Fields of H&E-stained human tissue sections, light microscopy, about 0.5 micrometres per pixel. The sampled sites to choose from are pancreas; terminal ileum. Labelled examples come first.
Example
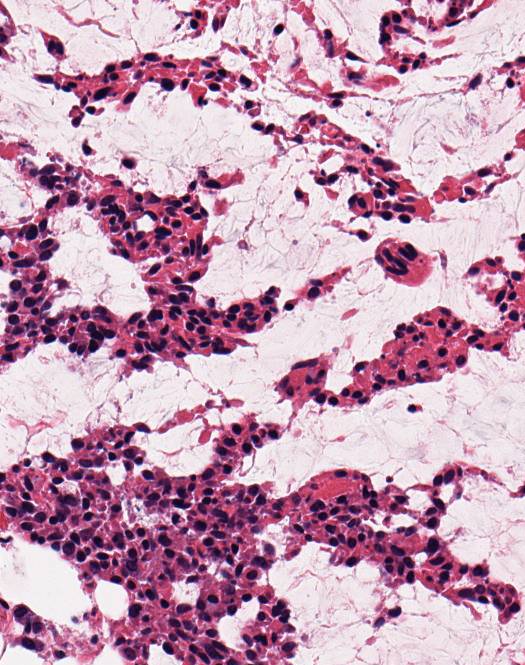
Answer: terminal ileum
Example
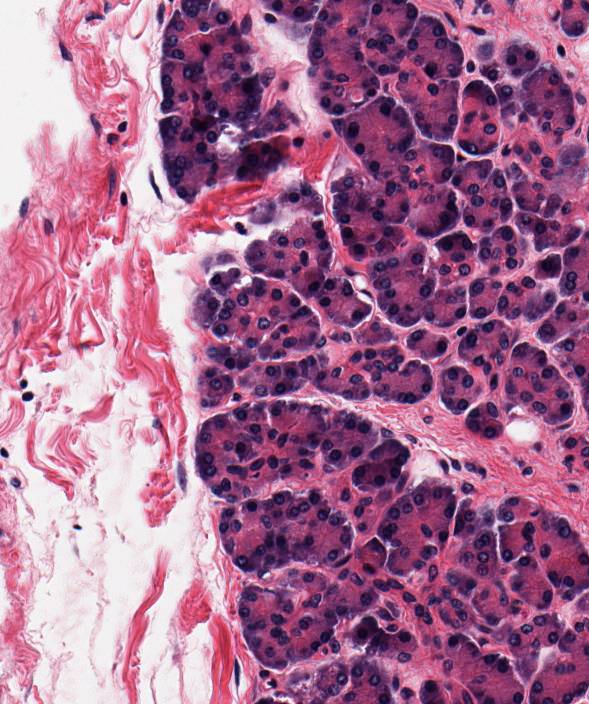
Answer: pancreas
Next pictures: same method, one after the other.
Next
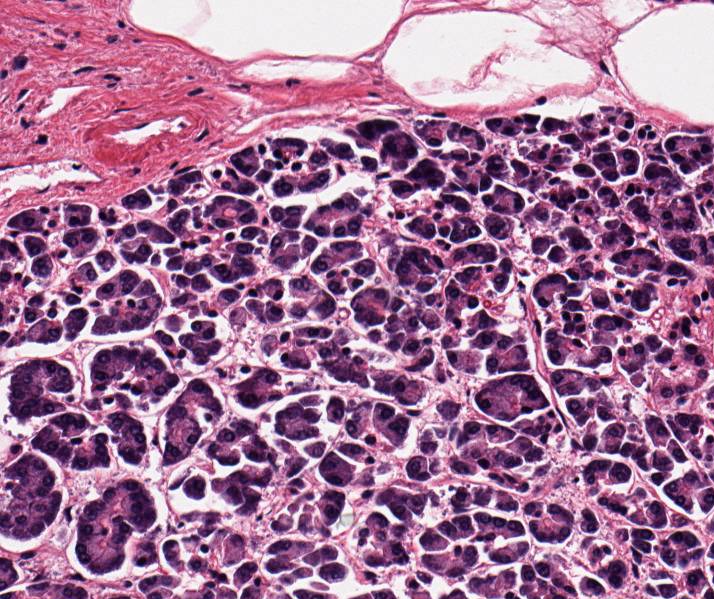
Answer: pancreas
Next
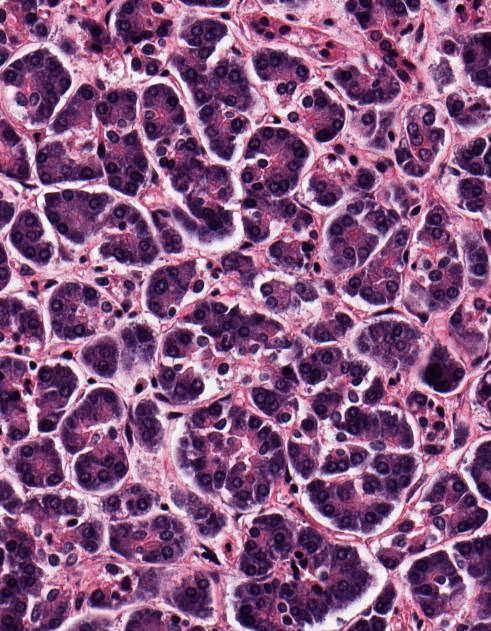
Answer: pancreas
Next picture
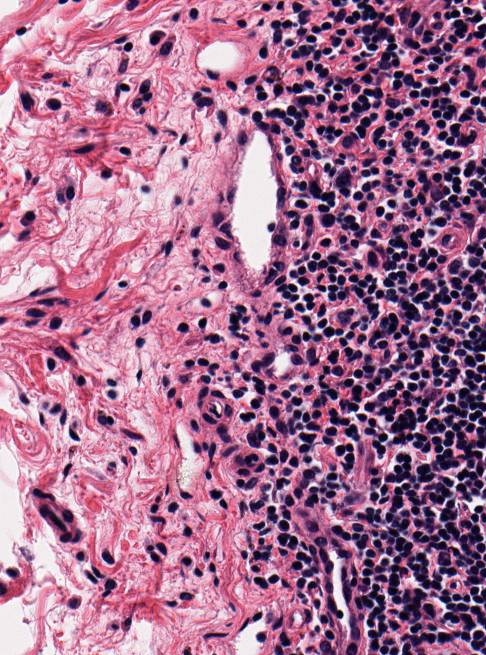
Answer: terminal ileum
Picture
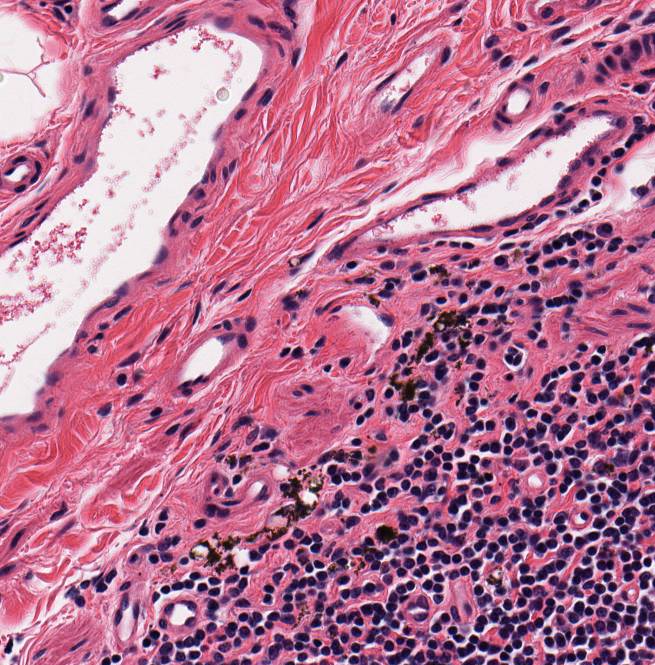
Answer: terminal ileum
